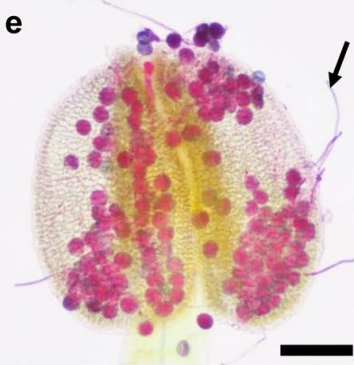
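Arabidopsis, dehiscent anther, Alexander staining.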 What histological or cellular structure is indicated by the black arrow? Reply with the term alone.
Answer: Pollen tubes.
